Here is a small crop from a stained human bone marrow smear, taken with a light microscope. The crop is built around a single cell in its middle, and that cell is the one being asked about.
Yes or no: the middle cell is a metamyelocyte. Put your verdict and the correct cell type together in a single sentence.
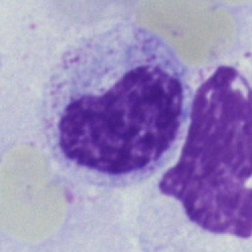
Yes, the cell found in the center of the crop is a metamyelocyte.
